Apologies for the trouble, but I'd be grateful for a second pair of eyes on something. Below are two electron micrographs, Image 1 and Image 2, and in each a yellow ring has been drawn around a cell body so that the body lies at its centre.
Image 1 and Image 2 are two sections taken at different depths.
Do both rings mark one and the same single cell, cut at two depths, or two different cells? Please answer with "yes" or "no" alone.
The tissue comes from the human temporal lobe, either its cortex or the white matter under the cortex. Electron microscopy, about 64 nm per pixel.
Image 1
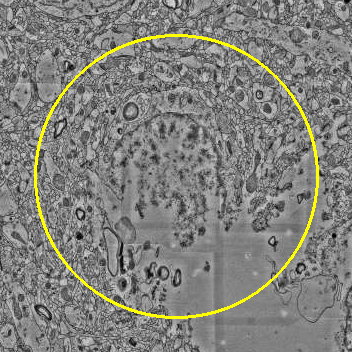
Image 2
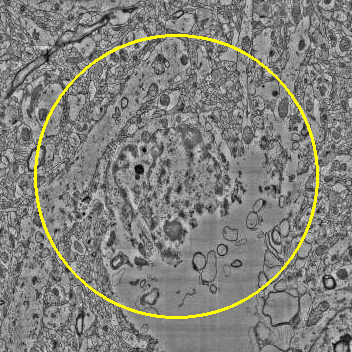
yes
